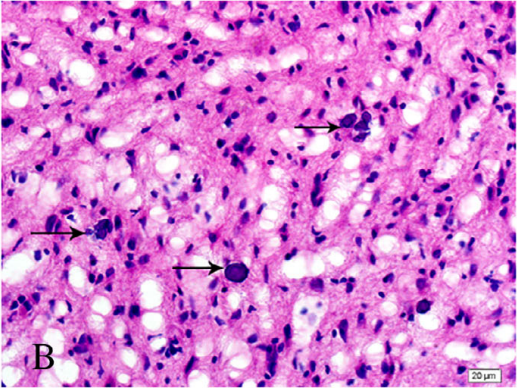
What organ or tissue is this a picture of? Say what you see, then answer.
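Crowded cells with elongated and irregular dark nuclei. Background full of clear vacuoles in a pink fibrillary matrix.
Conclusion: glioma tissues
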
